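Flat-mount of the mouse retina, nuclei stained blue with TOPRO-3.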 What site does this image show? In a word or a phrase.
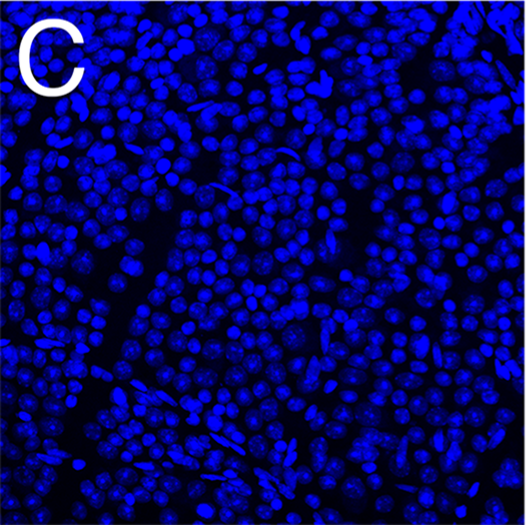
Ganglion cell layer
